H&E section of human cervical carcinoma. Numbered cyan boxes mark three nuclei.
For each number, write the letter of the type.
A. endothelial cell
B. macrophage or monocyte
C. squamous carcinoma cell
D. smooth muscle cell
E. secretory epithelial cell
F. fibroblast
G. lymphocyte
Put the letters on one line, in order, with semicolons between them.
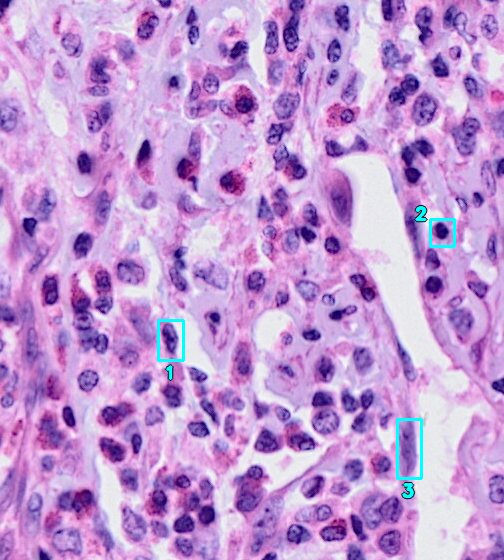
G; G; A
